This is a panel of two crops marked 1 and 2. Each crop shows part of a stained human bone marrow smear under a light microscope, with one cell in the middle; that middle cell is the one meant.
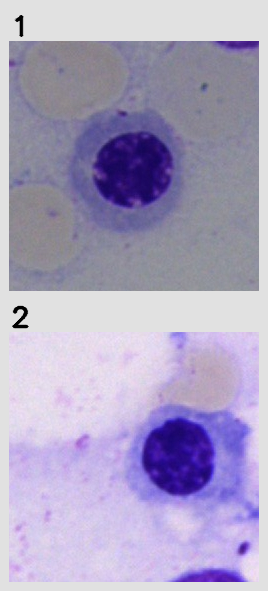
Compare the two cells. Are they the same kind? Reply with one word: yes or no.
yes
